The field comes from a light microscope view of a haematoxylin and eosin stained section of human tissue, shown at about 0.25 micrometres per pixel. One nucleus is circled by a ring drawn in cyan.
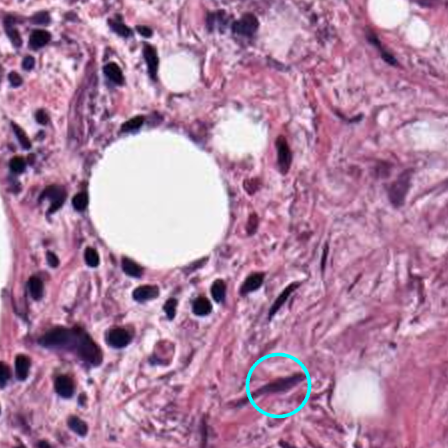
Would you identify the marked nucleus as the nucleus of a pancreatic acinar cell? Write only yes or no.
no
